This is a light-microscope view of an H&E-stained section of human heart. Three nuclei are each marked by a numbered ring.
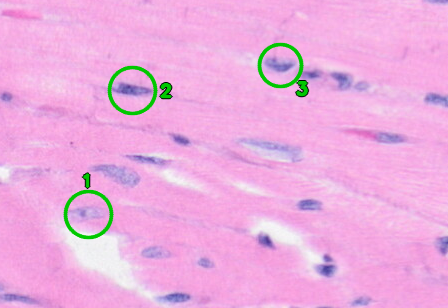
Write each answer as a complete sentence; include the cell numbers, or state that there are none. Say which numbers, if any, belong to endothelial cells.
Whereas cell 2 is an endothelial cell, the other numbered cells are not.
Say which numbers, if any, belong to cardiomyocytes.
It is only cell 1 that is a cardiomyocyte among the numbered cells.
